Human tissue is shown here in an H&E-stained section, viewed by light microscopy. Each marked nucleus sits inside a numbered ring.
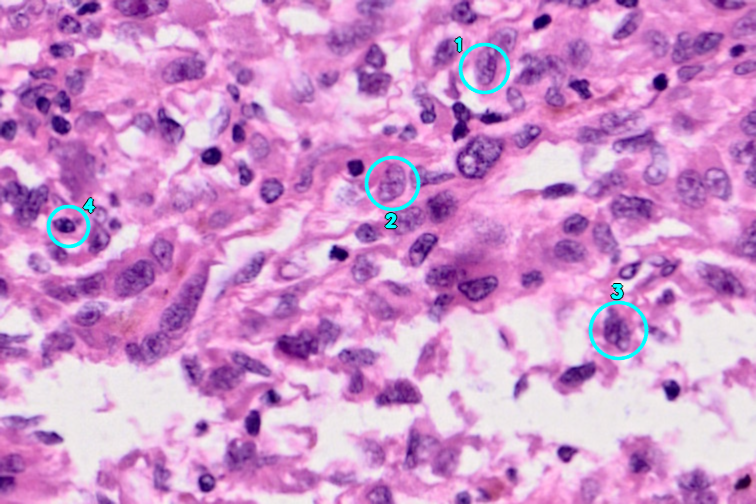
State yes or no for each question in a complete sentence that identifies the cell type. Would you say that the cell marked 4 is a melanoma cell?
No, cell 4 is not a melanoma cell; a lymphocyte is correct.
